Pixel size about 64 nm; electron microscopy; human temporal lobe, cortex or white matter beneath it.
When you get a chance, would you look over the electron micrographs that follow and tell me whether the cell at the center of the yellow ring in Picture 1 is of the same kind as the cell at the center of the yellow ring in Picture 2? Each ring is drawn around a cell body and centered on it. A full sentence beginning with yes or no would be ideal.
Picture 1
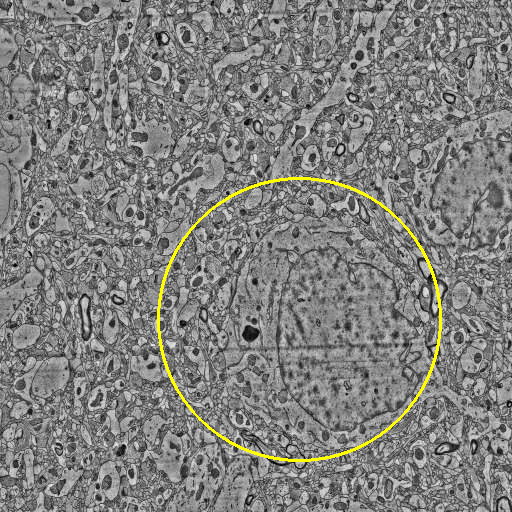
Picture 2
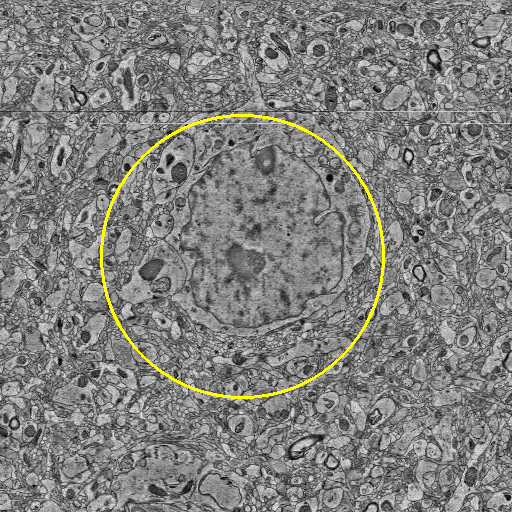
Yes, the two cells are of the same kind.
